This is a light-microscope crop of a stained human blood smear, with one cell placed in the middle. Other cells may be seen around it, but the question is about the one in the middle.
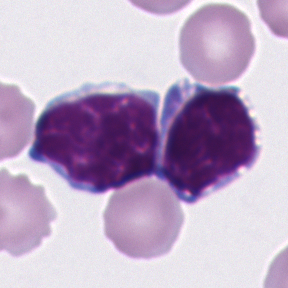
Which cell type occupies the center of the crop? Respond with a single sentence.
The identification for the central cell is a typical lymphocyte.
